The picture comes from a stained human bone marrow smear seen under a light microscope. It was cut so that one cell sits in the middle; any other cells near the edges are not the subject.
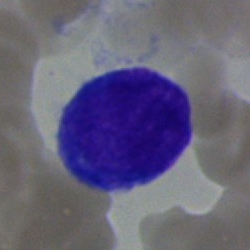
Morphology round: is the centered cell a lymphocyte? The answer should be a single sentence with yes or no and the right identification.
No, the cell in the middle of the crop counts as a blast and not as a lymphocyte.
